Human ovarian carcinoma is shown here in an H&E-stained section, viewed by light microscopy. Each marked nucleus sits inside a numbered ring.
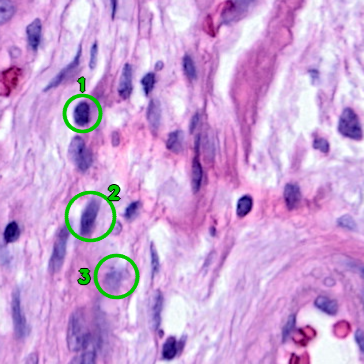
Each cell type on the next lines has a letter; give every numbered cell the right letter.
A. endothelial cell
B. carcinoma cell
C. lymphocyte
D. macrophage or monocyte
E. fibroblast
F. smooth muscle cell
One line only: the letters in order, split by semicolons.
C; E; E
